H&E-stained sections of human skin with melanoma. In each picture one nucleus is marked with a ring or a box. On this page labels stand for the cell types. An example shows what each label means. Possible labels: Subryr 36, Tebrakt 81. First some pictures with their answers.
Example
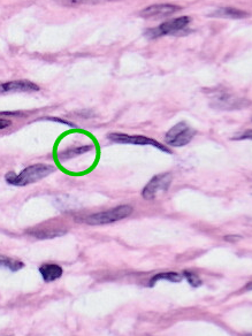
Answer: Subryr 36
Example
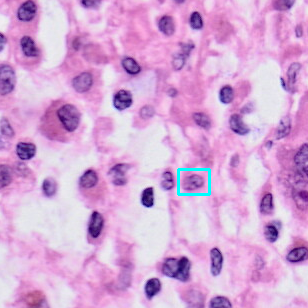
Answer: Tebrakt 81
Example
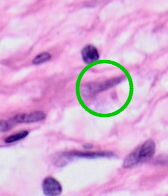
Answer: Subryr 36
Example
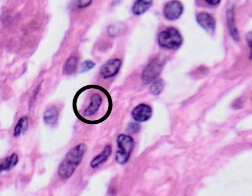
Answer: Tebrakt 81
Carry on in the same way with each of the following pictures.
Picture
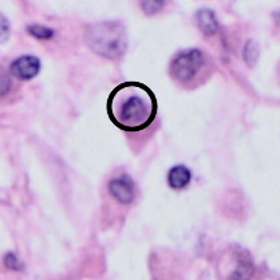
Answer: Tebrakt 81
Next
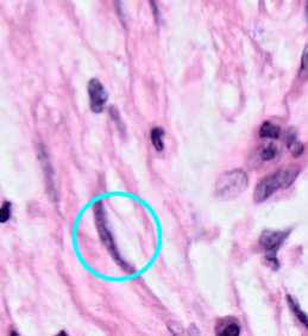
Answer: Subryr 36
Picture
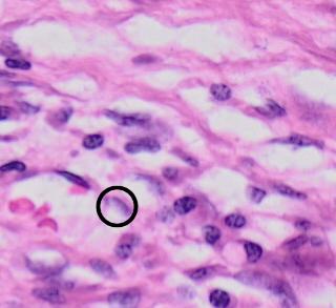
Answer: Subryr 36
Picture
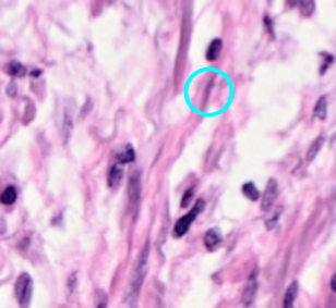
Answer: Subryr 36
